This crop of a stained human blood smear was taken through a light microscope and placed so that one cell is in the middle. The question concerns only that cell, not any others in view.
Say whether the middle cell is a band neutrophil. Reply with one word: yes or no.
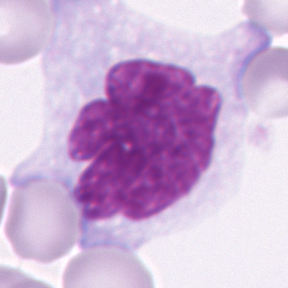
no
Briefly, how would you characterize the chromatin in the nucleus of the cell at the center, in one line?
There is no coarse clumping; the chromatin stays fine throughout.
